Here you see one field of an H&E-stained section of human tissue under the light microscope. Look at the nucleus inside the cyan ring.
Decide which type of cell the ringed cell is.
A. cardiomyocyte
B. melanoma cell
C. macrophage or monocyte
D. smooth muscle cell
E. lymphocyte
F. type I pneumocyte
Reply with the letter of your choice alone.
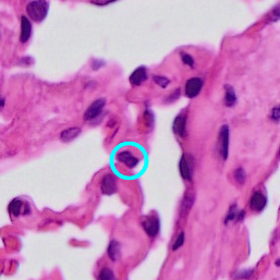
F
